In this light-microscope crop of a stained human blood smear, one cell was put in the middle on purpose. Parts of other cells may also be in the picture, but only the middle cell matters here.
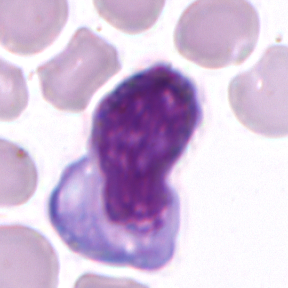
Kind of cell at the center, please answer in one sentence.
By type, the central cell of the crop is a plasma cell.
